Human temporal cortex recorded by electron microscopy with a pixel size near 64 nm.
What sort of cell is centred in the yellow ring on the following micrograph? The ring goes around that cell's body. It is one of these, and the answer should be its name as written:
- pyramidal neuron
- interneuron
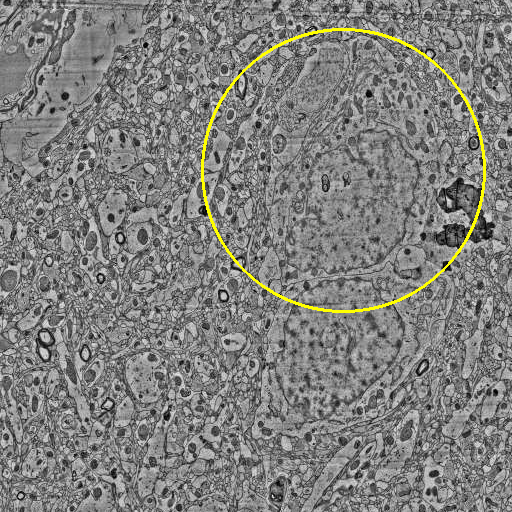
interneuron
